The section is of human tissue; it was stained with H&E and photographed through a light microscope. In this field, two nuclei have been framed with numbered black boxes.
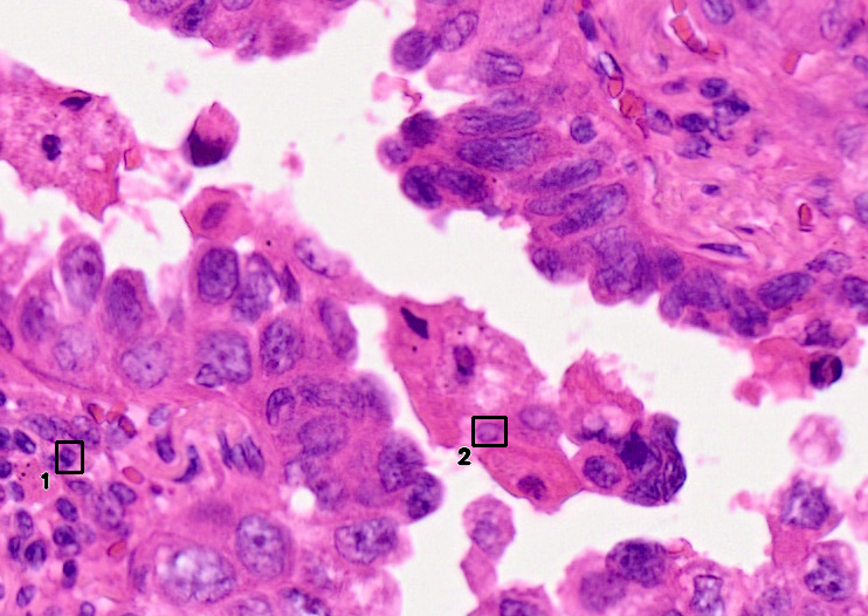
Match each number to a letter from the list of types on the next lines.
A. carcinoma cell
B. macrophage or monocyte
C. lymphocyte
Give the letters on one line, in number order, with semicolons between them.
C; B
